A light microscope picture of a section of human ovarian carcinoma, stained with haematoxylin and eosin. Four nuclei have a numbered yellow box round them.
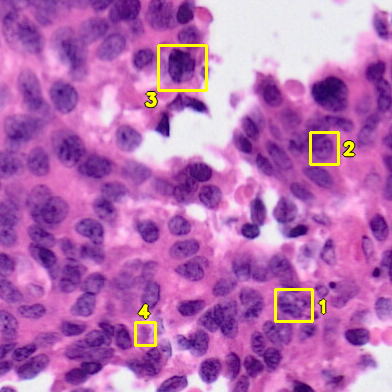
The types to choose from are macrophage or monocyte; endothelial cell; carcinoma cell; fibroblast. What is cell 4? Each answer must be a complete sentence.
In this section, the cell numbered 4 is a carcinoma cell.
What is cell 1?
The mark numbered 1 indicates the nucleus of a macrophage or monocyte.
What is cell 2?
The cell pointed out as number 2 is a carcinoma cell.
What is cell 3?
The numbered cell 3 in this field is a carcinoma cell.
